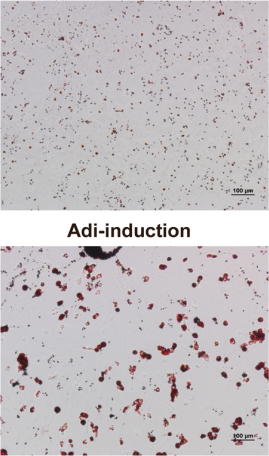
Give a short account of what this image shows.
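The upper image shows sparse small specks scattered on a pale background. The lower image shows many rounded cells filled with red-stained clusters of globules, consistent with lipid droplets accumulating in the cells.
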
